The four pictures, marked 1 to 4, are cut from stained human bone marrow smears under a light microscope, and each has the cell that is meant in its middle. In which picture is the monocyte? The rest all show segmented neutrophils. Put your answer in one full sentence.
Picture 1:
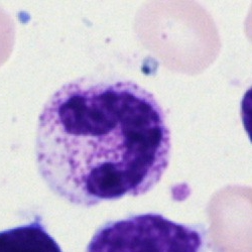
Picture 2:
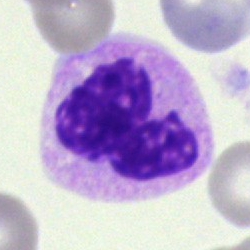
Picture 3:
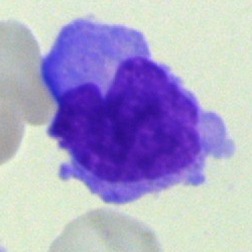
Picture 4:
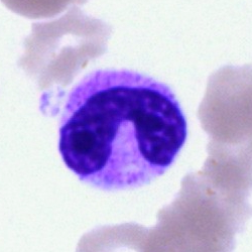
The cell in picture 3 is the monocyte.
